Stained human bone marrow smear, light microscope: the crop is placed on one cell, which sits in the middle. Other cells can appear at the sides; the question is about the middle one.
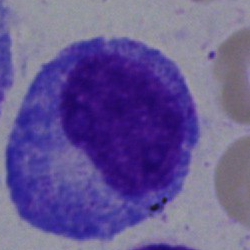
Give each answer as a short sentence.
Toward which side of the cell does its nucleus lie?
It is shifted toward the upper right of the cell.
